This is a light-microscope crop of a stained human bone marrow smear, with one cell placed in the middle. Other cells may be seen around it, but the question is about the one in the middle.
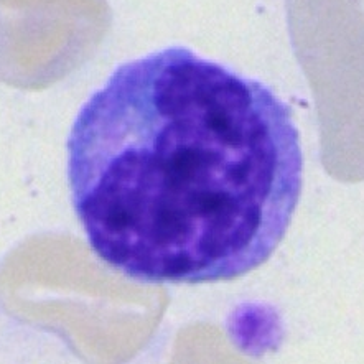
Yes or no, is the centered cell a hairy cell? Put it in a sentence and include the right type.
No, the cell at the centre is identified as a monocyte, not as a hairy cell.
